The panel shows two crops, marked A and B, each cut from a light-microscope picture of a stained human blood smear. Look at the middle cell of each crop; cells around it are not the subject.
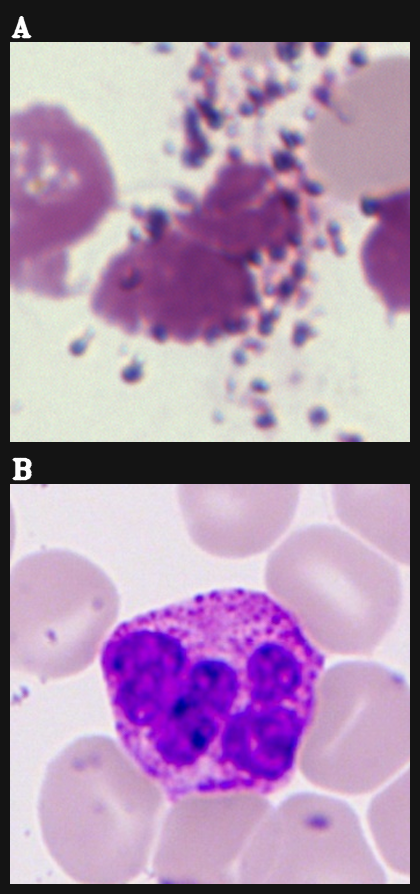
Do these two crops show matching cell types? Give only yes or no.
yes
